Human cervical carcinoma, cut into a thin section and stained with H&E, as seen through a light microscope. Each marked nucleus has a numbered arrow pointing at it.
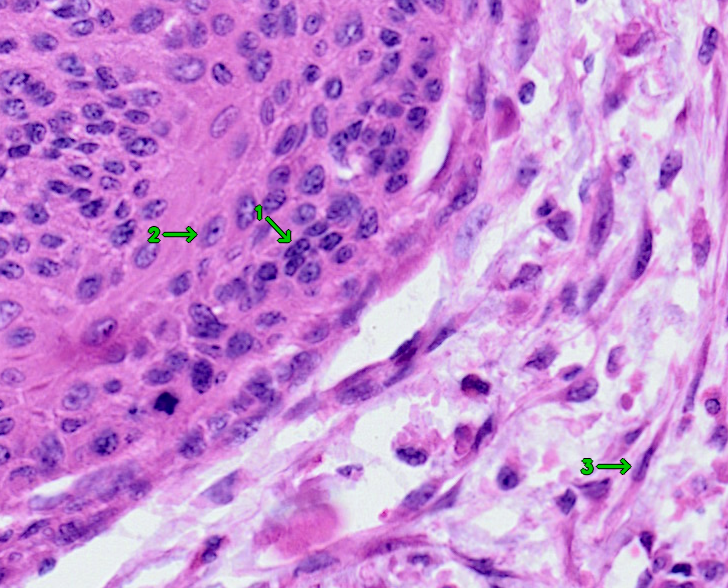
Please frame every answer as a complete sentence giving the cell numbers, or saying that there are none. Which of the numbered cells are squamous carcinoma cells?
The cells that have been numbered 1 and 2 are squamous carcinoma cells.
